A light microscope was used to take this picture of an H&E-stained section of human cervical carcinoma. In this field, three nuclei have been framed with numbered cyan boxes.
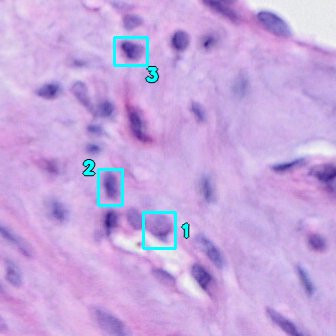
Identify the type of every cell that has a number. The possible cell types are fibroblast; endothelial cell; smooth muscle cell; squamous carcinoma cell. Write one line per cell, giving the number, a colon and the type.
1: endothelial cell
2: fibroblast
3: fibroblast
